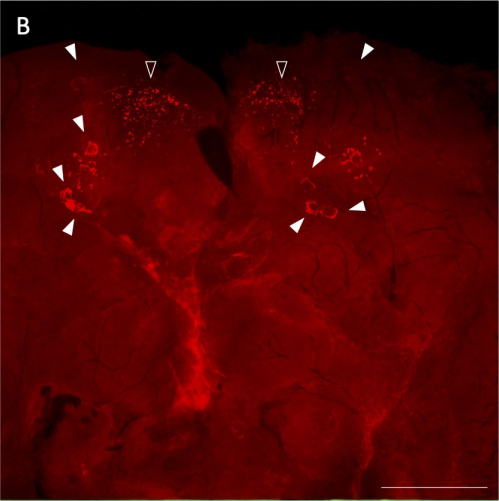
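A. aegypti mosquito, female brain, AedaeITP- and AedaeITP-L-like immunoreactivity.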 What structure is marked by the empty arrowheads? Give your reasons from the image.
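Dense fields of small bright puncta lie at the brain margin on either side of the midline. The puncta are much smaller than the labelled cell bodies lateral to them. So: varicosities and blebs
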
